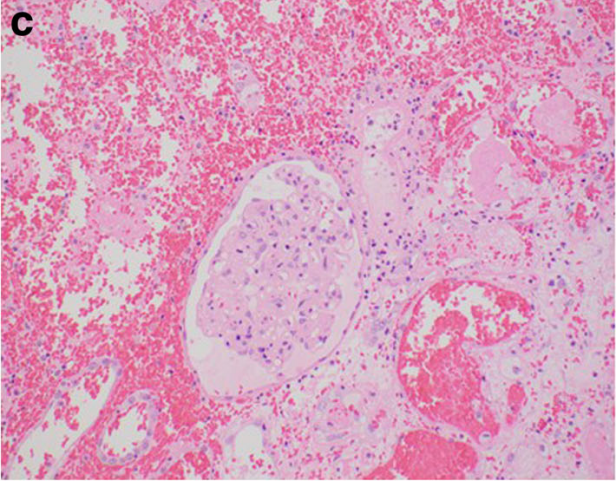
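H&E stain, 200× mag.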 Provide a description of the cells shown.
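A glomerulus sits near the center of kidney cortex, its round capillary tuft enclosed by a thin capsule with a clear space around it. The surrounding interstitium is flooded with red blood cells. Nearby tubules have pale epithelium, and some tubule lumens contain red cells and pink cast-like material.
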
